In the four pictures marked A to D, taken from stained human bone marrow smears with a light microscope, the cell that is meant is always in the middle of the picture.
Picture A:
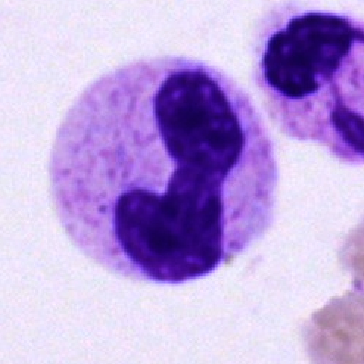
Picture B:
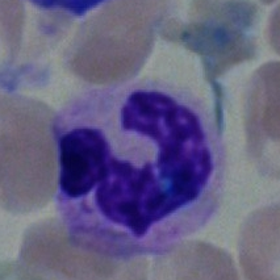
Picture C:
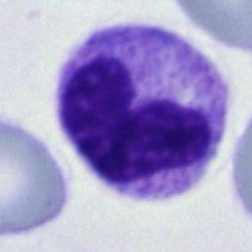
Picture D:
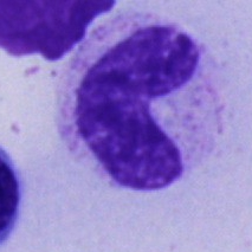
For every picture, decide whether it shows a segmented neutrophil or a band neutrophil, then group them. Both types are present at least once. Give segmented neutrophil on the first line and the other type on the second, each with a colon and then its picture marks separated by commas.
segmented neutrophil: B
band neutrophil: A, C, D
